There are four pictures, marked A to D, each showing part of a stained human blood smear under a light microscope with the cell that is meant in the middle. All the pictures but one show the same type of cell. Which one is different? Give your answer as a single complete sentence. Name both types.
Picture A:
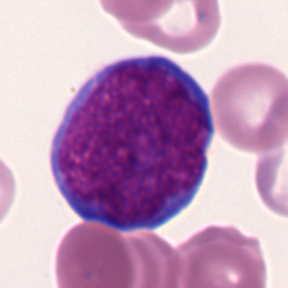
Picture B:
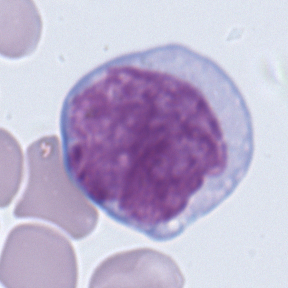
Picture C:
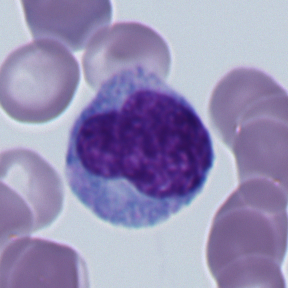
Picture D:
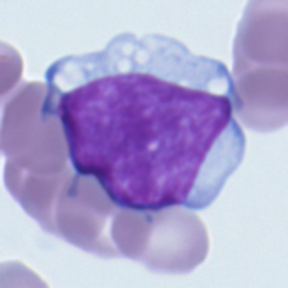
The others show myeloblasts, but picture C shows a monocyte.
